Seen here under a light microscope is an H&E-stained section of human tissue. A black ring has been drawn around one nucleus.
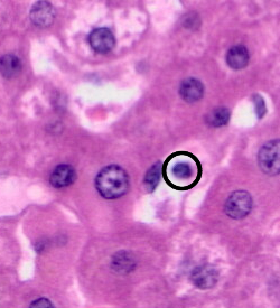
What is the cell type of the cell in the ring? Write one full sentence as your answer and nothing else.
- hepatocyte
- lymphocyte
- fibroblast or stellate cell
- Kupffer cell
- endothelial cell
On this particular slide, the cell in the ring is a lymphocyte.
